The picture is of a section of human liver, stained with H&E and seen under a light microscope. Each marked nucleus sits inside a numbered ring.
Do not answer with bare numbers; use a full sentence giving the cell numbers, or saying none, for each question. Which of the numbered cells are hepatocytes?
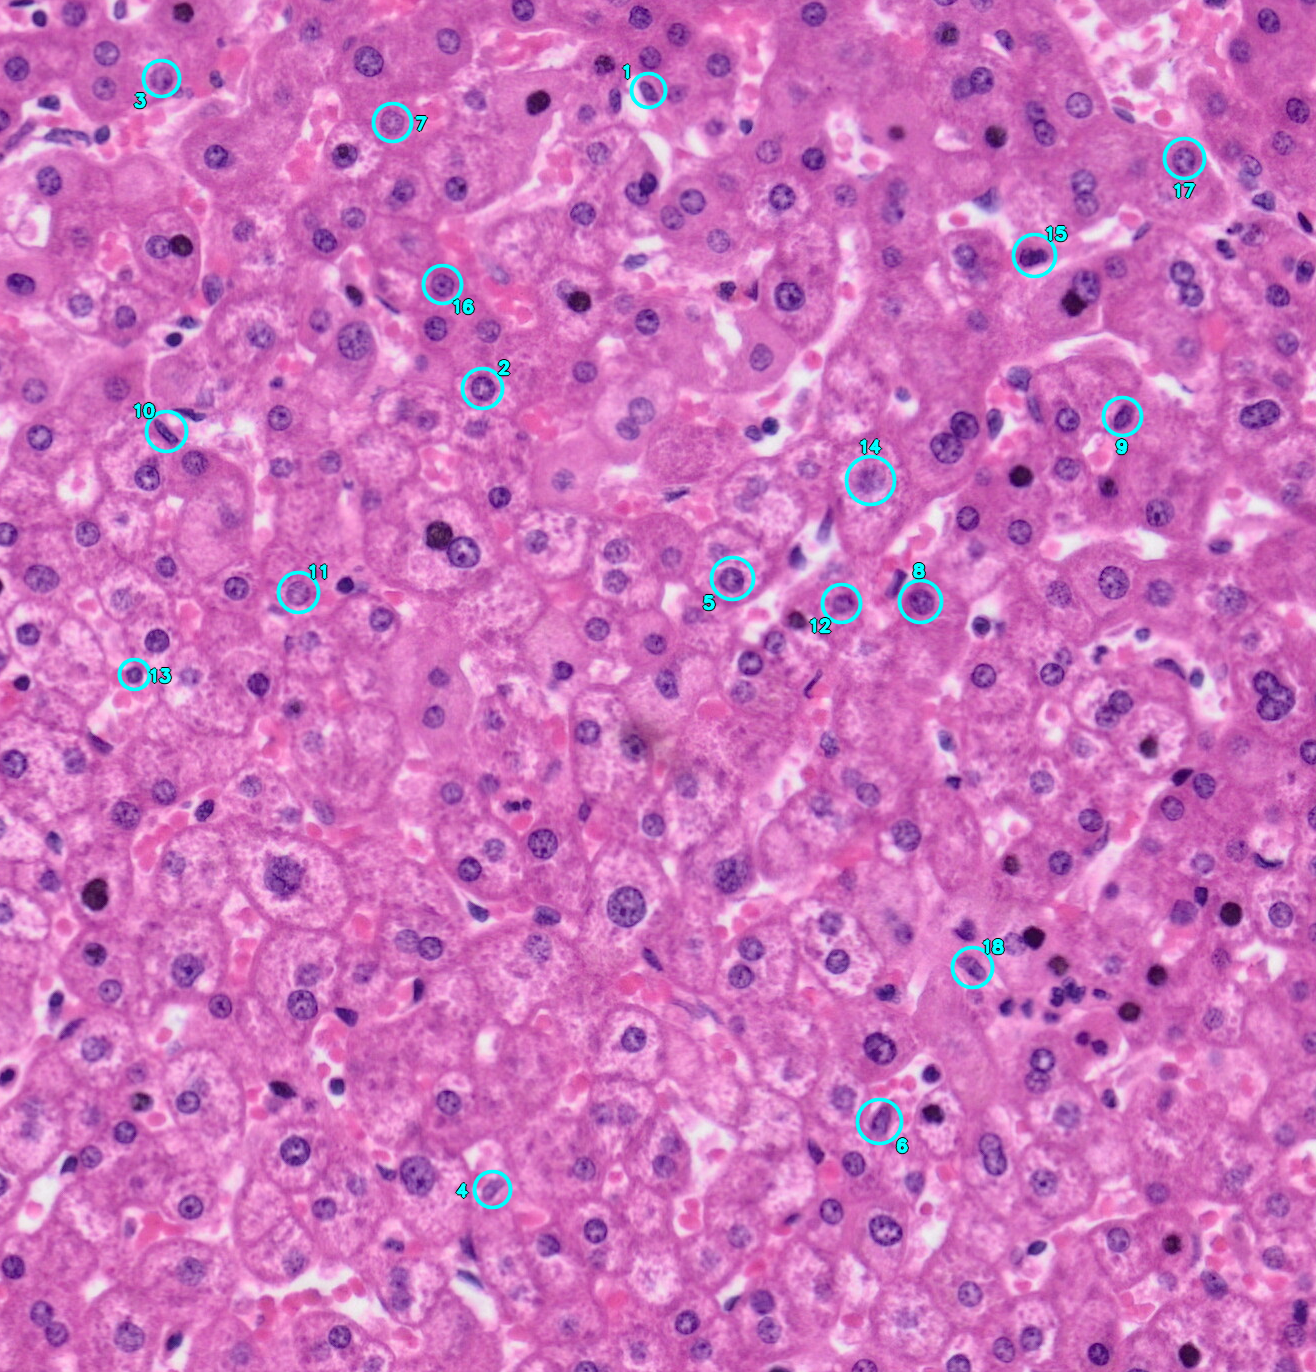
The numbers 2, 3, 5, 7, 8, 11, 12, 14, 16 and 17 in this section indicate hepatocytes.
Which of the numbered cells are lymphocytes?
Among all the marked cells, a lymphocyte is found only at number 13.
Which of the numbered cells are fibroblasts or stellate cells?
In short, the numbered cells 9 and 10 are fibroblasts or stellate cells.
